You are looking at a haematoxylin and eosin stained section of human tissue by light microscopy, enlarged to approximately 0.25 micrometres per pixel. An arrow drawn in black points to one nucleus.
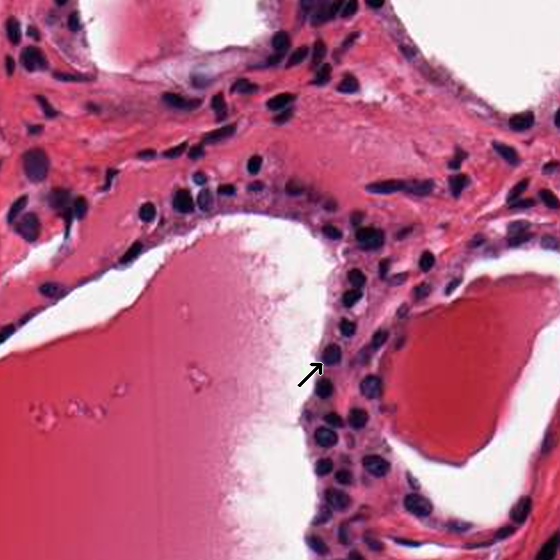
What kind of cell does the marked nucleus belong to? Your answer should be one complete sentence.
What the marked nucleus belongs to is a thyroid follicular cell.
